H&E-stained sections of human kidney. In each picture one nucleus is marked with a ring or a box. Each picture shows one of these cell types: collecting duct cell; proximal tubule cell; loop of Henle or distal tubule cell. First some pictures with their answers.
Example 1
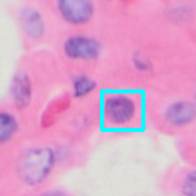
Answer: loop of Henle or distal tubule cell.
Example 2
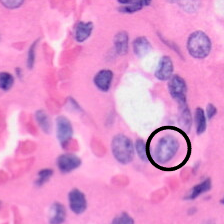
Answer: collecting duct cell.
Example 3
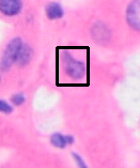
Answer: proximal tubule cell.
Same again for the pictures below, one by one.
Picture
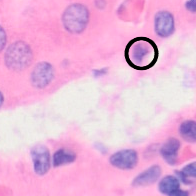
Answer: loop of Henle or distal tubule cell.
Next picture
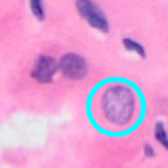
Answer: proximal tubule cell.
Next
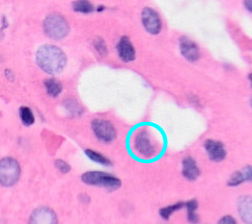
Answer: loop of Henle or distal tubule cell.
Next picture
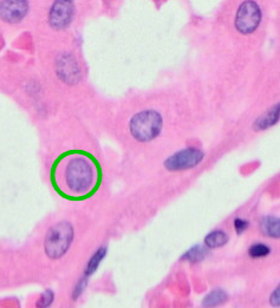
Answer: proximal tubule cell.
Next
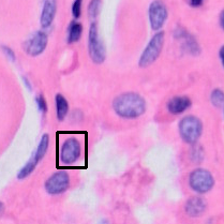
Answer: loop of Henle or distal tubule cell.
